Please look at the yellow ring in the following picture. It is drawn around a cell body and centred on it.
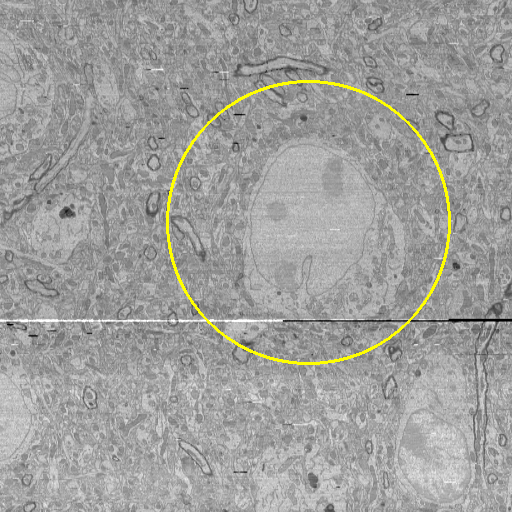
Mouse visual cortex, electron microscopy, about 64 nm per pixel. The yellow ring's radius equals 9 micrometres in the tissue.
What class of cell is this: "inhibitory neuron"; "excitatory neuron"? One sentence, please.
The ring surrounds the cell body of an excitatory neuron.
